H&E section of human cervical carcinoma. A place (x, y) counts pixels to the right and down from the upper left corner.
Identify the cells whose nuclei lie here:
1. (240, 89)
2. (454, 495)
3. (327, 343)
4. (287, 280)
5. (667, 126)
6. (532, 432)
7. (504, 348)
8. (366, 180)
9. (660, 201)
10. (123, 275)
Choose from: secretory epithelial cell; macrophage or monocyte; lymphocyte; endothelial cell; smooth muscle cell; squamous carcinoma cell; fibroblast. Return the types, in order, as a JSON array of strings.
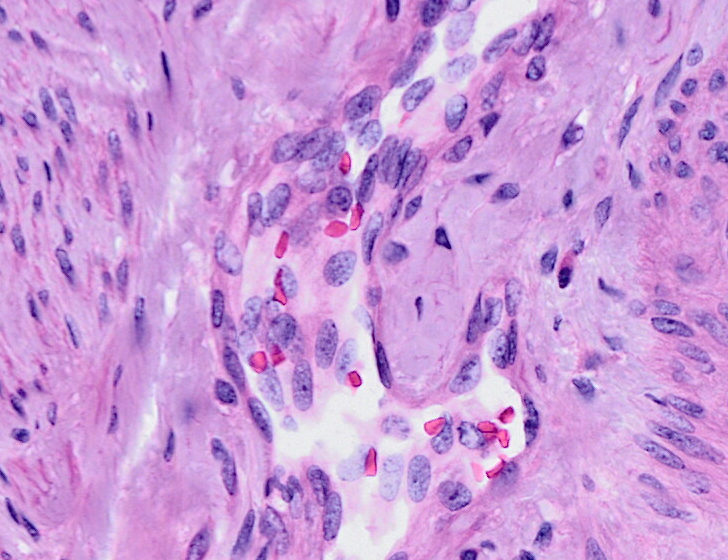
["fibroblast", "endothelial cell", "endothelial cell", "endothelial cell", "smooth muscle cell", "endothelial cell", "endothelial cell", "endothelial cell", "smooth muscle cell", "smooth muscle cell"]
